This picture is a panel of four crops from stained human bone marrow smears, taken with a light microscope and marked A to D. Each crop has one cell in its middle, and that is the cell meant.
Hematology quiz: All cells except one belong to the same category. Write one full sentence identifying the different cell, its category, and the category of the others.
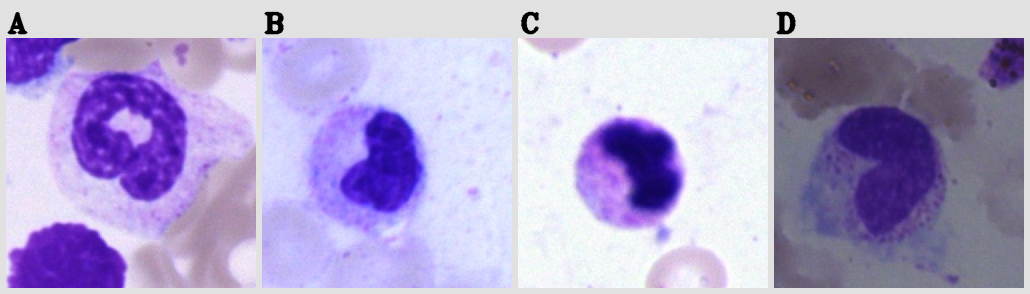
As the exception to the band neutrophils in the other crops, crop C shows a segmented neutrophil.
